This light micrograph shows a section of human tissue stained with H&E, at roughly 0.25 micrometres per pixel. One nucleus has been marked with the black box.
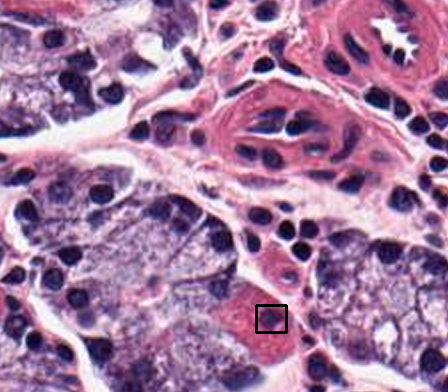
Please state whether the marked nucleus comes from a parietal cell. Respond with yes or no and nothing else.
yes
